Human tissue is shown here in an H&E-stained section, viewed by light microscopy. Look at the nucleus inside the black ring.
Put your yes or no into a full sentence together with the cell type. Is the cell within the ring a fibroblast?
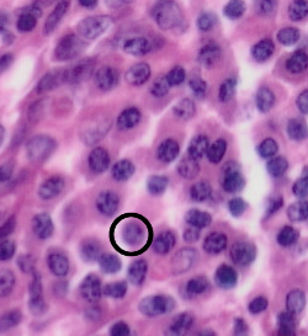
No, a fibroblast is not what the cell within the ring is; it is a plasma cell.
